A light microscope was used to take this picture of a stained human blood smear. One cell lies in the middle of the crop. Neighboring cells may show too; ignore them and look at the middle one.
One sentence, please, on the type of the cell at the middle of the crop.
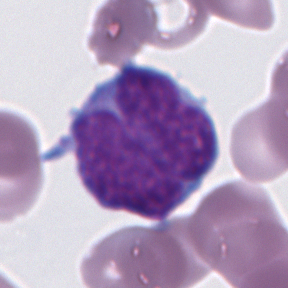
Of the cells in this crop, the central one is an atypical promyelocyte.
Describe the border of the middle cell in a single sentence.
Smoothness is lacking at the edge, which is ragged in places or drawn into projections.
